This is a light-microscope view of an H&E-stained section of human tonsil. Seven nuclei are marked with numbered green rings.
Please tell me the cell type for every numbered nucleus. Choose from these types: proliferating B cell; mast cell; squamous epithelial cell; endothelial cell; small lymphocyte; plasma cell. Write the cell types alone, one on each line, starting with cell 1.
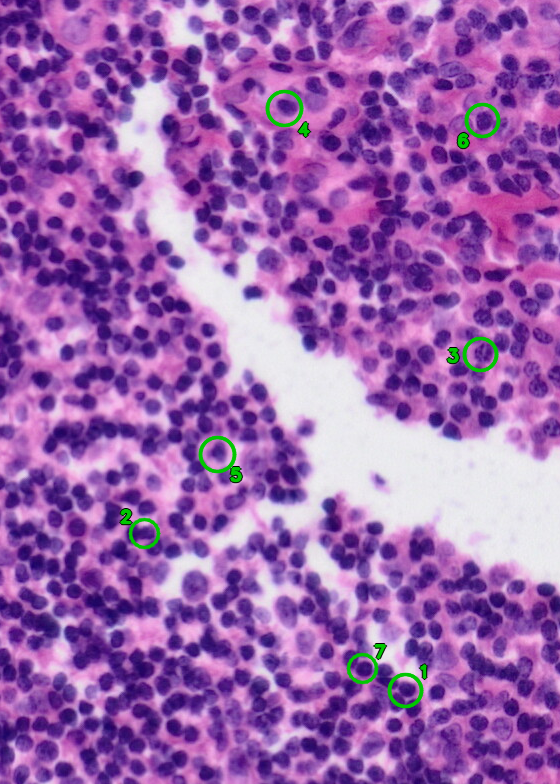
small lymphocyte
small lymphocyte
plasma cell
endothelial cell
small lymphocyte
endothelial cell
small lymphocyte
